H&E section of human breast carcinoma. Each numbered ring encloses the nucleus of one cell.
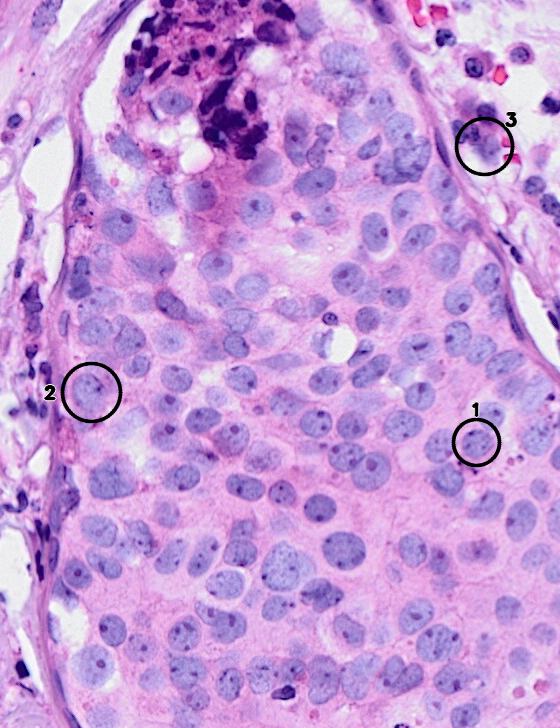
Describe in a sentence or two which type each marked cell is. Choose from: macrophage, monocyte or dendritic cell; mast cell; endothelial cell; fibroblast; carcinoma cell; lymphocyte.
Cells 1 and 2 are carcinoma cells. Cell 3 is an endothelial cell.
